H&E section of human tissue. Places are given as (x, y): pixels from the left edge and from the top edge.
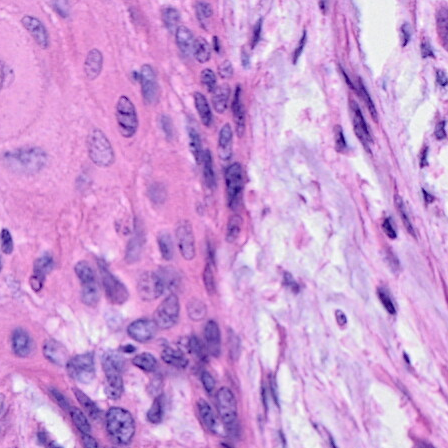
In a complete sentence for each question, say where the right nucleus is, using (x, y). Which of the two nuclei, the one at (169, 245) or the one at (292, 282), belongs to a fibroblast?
The nucleus of the pair that lies within a fibroblast is at (292, 282).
